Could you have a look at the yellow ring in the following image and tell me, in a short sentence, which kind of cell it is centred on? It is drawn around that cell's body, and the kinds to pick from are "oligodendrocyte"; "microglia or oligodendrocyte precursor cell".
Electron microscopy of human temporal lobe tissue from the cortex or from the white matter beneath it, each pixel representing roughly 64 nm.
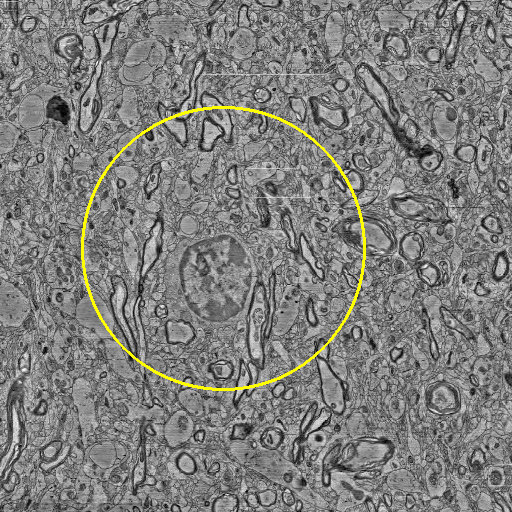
The ring is centred on the body of an oligodendrocyte.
